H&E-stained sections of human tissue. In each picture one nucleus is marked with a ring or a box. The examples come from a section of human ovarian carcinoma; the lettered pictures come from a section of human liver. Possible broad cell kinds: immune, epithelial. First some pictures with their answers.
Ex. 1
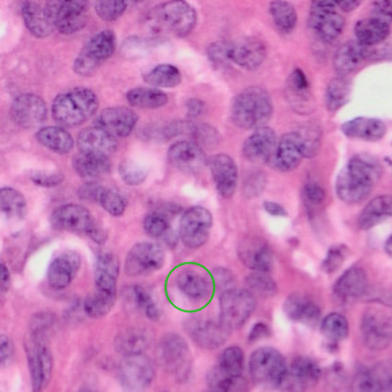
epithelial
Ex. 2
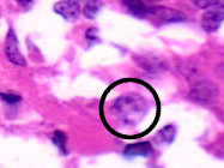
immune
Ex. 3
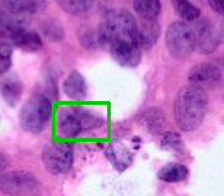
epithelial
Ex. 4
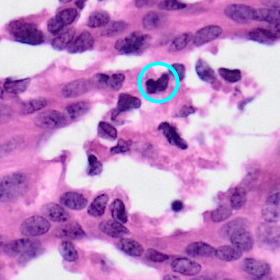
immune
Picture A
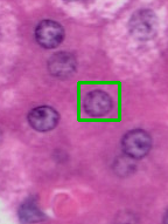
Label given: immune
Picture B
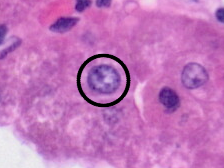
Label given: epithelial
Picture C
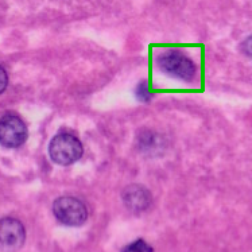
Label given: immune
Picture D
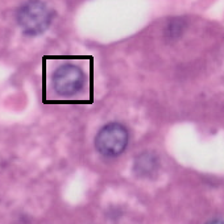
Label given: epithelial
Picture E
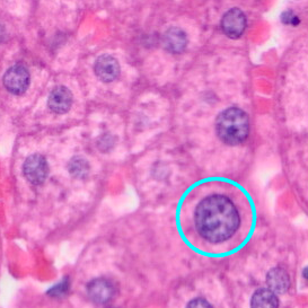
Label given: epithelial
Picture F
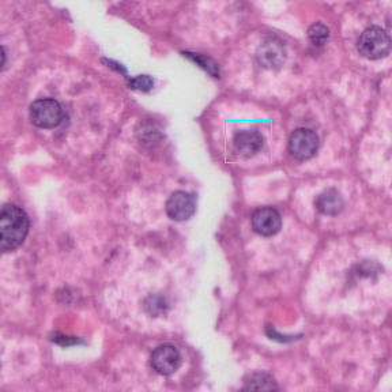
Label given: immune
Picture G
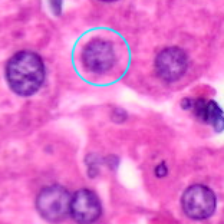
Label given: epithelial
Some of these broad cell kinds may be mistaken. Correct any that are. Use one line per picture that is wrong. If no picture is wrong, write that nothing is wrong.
A: change immune to epithelial
F: change immune to epithelial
